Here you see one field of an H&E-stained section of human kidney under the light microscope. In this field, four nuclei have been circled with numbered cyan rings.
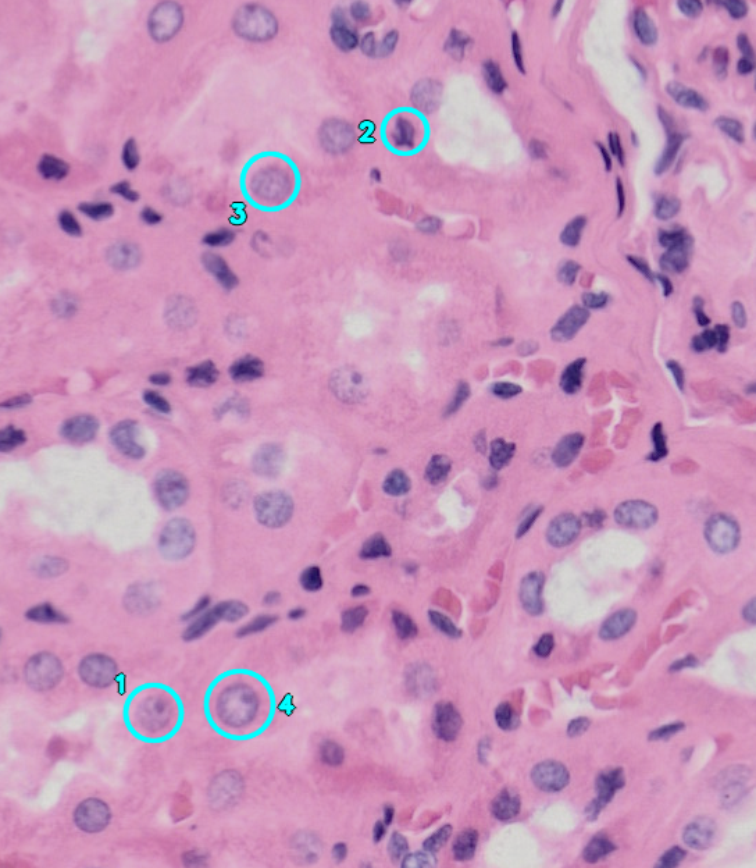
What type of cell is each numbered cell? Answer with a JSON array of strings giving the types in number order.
["proximal tubule cell", "loop of Henle or distal tubule cell", "proximal tubule cell", "proximal tubule cell"]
